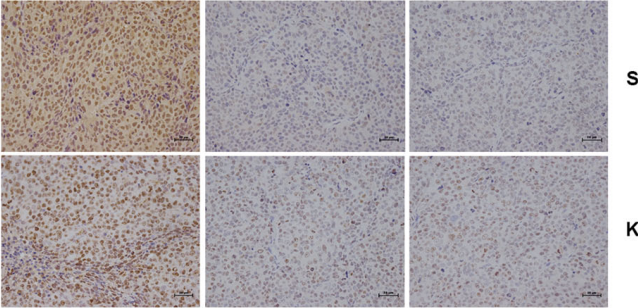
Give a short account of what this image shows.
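The cells have oval to rounded nuclei and a moderate amount of cytoplasm, with thin strands of stroma running between them in places. In the left column, many nuclei carry a strong brown stain and the background cytoplasm is tinged light brown. In the middle and right columns, most nuclei show only the blue-purple hematoxylin counterstain, with only faint or scattered brown. The architecture is similar throughout, so the columns differ mainly in how much brown nuclear staining they show.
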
